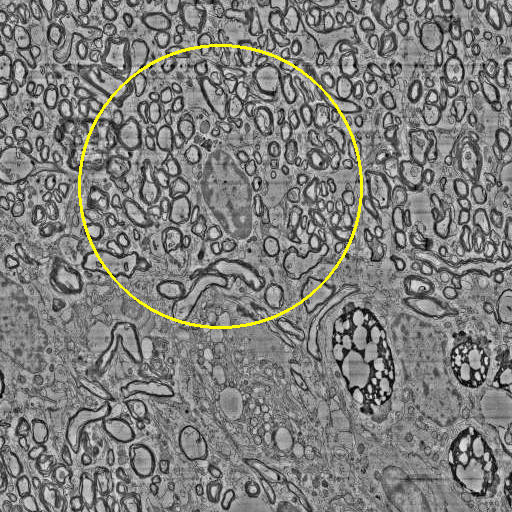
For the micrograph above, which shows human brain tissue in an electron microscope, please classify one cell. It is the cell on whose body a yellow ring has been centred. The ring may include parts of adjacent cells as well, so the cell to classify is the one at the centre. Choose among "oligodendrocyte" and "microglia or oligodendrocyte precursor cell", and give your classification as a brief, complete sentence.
I classify this cell as a microglial cell or oligodendrocyte precursor cell.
